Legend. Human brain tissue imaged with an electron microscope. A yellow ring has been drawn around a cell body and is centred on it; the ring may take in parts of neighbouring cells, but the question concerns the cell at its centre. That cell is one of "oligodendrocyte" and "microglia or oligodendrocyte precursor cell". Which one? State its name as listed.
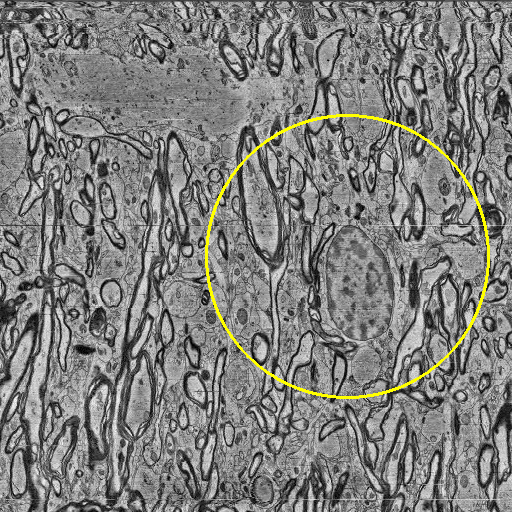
microglia or oligodendrocyte precursor cell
